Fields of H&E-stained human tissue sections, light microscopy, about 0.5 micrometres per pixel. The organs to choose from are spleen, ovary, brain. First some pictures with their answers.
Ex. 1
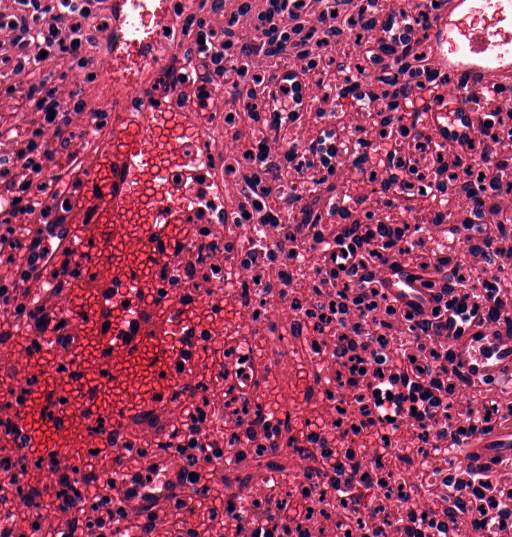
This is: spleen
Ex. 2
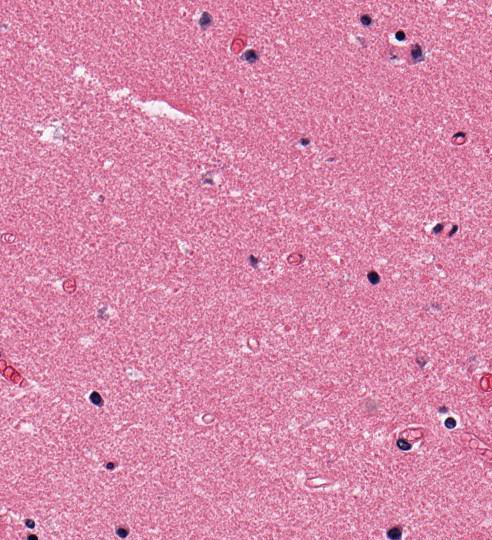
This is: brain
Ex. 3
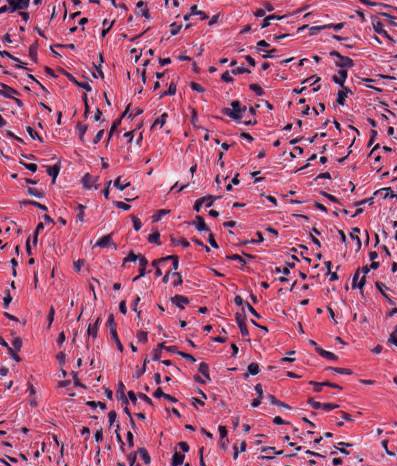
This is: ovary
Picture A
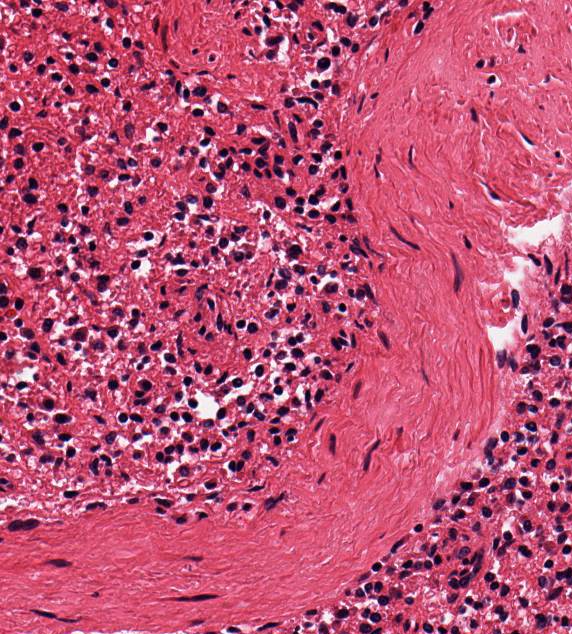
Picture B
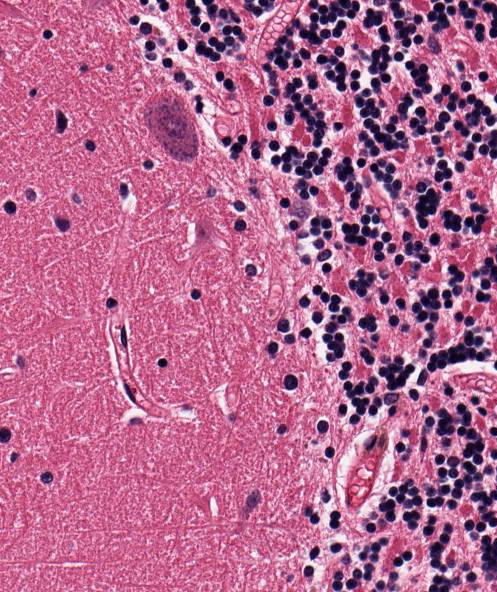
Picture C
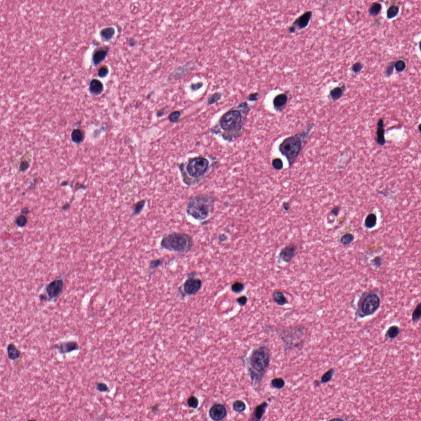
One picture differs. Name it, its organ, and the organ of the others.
Exception: A, showing spleen. Remaining pictures: brain.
